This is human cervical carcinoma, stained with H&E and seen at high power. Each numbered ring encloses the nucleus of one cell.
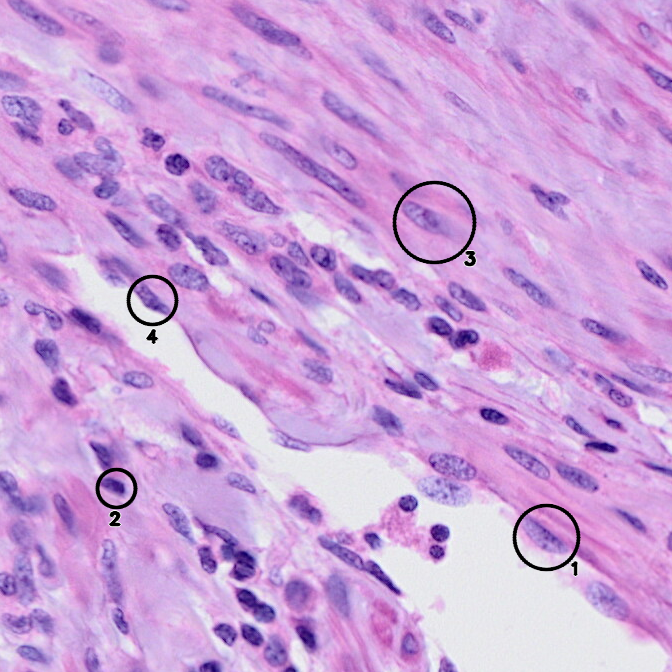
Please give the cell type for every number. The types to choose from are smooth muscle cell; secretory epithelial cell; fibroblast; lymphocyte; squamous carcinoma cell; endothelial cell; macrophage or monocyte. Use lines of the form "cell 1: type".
cell 1: endothelial cell
cell 2: lymphocyte
cell 3: smooth muscle cell
cell 4: endothelial cell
